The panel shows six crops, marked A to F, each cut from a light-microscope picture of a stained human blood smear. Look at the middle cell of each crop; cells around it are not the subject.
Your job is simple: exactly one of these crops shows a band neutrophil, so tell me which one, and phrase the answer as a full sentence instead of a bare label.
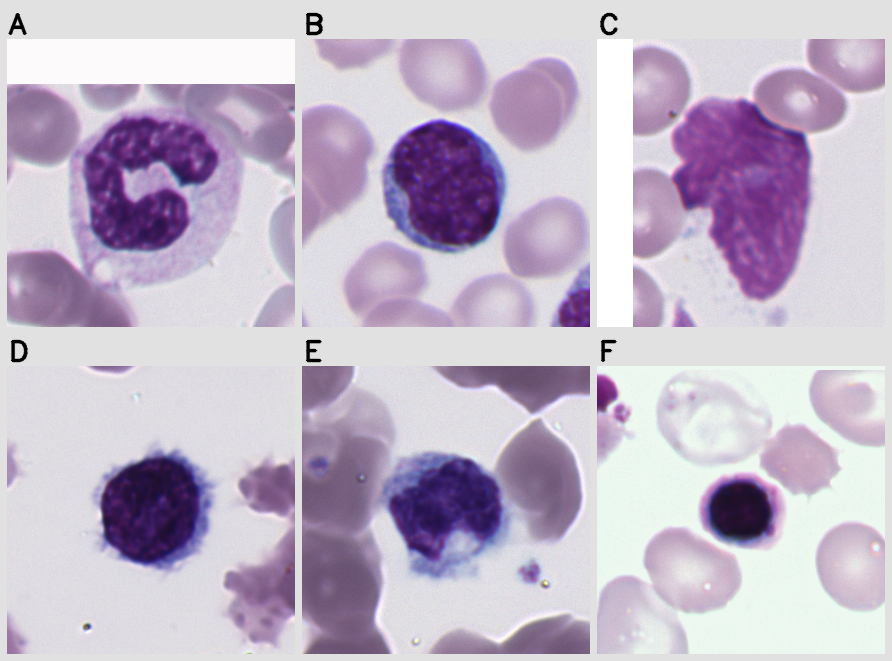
Crop A alone, of all the crops, shows a band neutrophil.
